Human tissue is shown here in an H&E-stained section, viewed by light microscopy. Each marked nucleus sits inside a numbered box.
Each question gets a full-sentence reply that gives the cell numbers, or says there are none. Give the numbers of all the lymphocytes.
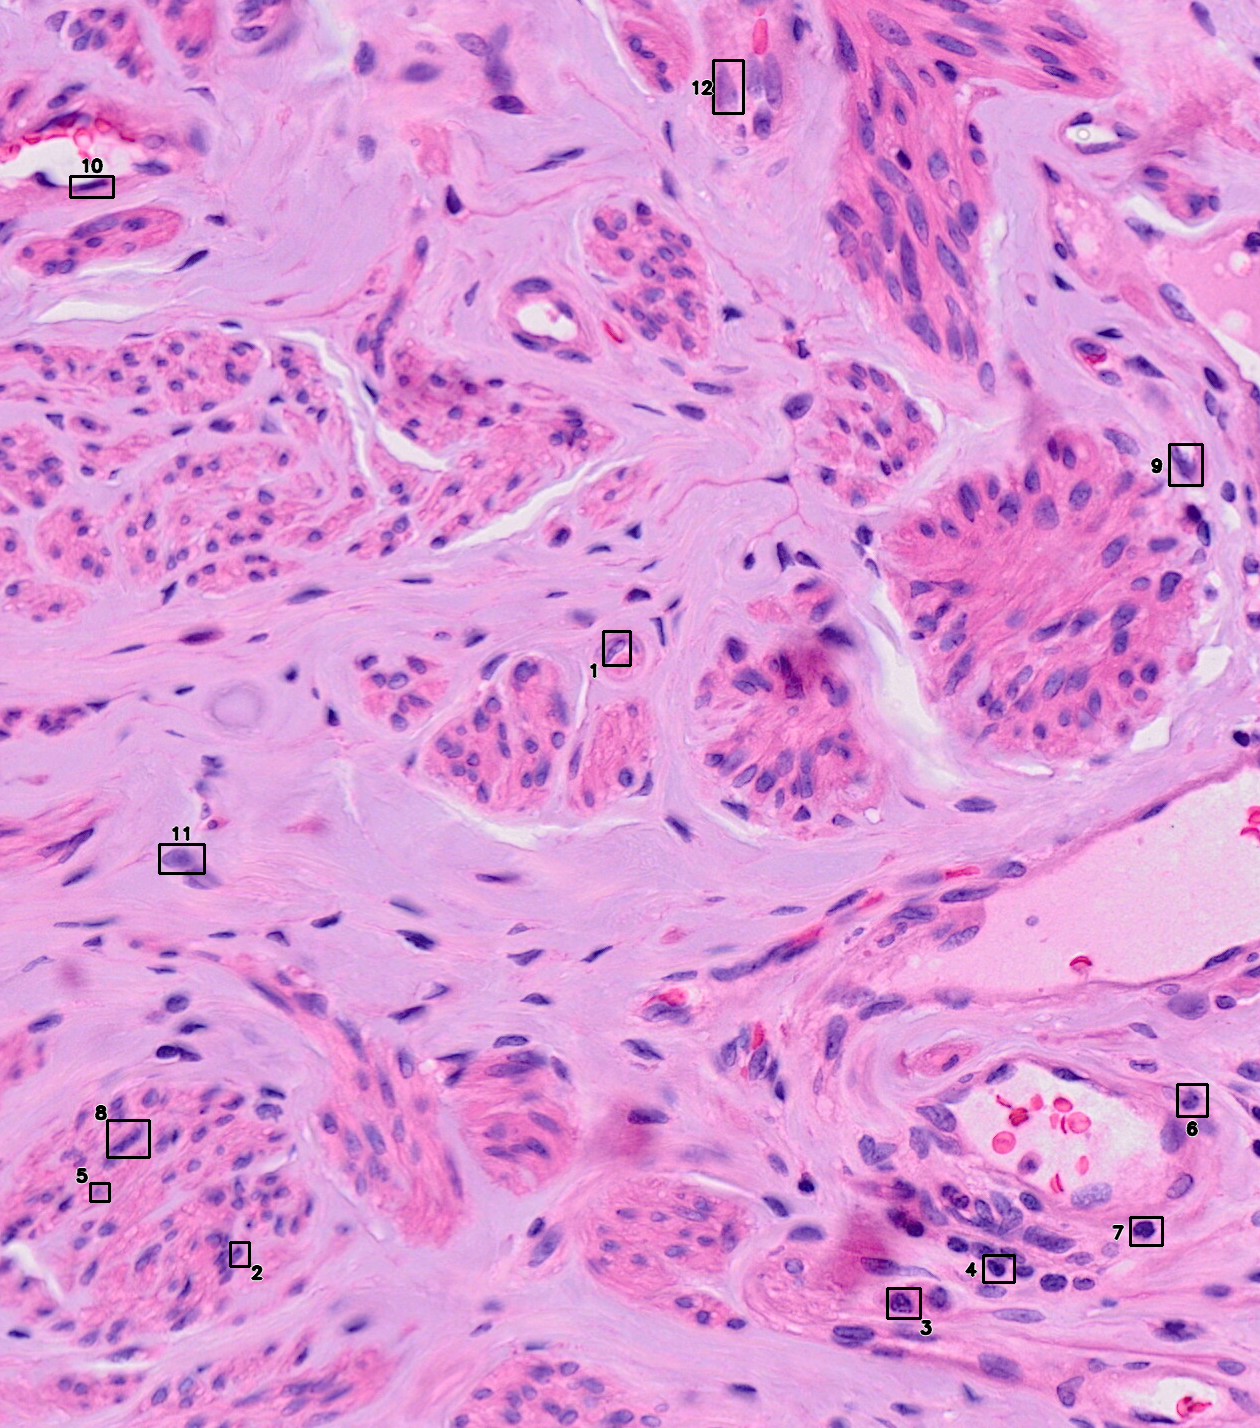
By cell type, the cells numbered 3, 4, 6 and 7 are lymphocytes.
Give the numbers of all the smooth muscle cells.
The cells with numbers 2, 5 and 8 are smooth muscle cells by type.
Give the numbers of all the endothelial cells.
The cells numbered 1, 9, 10 and 12 are of the kind known as endothelial cells.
